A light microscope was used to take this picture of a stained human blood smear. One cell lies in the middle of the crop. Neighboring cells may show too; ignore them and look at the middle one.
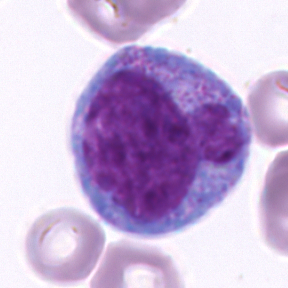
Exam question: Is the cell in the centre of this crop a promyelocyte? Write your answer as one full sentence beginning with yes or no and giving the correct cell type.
Yes, it is a promyelocyte that lies in the middle.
